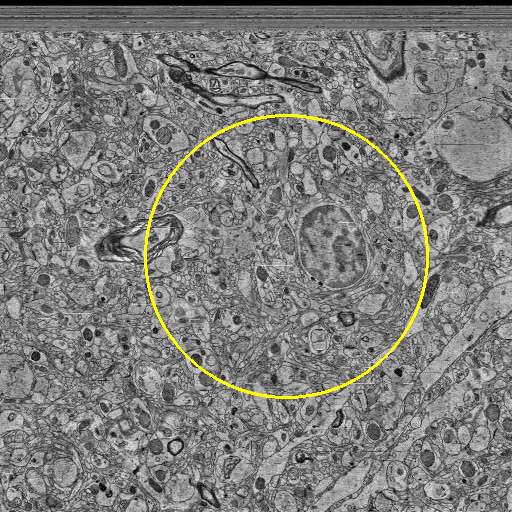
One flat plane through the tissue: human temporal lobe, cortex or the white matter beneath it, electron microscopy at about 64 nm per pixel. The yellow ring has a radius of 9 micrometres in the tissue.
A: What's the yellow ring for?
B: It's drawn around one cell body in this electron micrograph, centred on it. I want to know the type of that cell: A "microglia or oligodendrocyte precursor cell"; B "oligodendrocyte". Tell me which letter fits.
A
